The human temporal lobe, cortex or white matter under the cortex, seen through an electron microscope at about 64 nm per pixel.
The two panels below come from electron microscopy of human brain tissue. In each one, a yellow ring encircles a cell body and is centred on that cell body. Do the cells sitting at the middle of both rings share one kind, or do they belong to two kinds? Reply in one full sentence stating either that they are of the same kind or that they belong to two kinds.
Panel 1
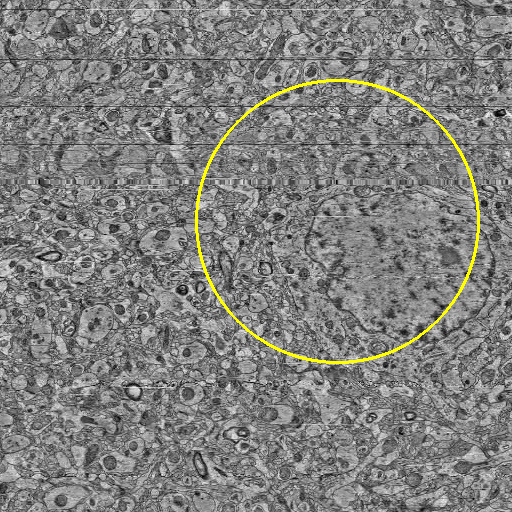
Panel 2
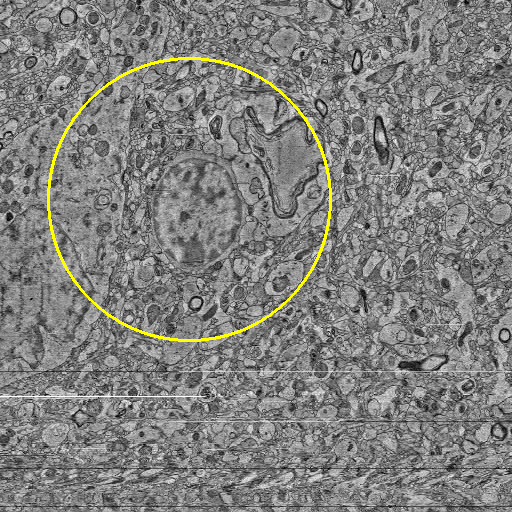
The cells at the centres of the two rings belong to two kinds.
